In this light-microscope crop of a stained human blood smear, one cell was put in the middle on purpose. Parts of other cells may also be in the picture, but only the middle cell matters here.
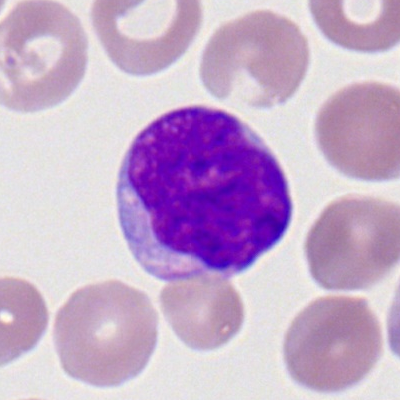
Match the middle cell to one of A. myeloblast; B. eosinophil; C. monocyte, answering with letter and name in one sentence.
In this crop the middle cell is a myeloblast, so option A is the correct answer.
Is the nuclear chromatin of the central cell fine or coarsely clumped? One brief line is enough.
What stands out is chromatin that is coarsely clumped.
